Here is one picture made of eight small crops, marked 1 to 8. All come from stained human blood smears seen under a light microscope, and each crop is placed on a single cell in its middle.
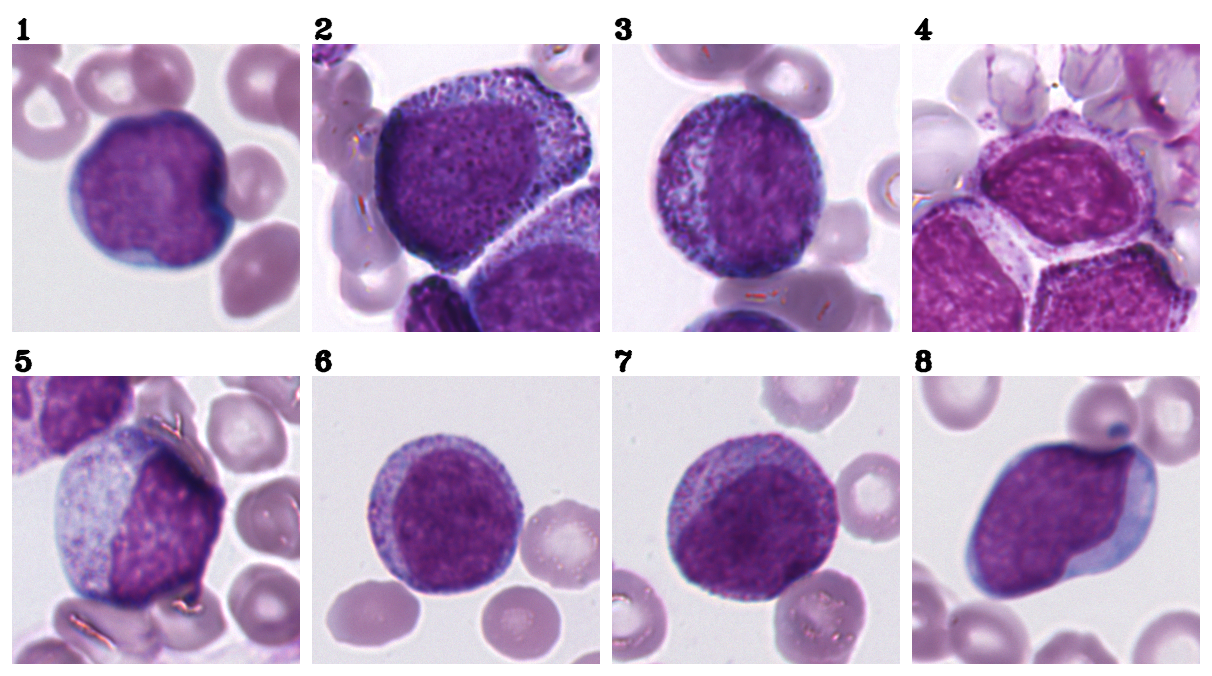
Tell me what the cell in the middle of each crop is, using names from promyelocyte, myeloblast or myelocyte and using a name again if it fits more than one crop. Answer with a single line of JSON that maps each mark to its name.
{"1": "myeloblast", "2": "promyelocyte", "3": "promyelocyte", "4": "myelocyte", "5": "myelocyte", "6": "promyelocyte", "7": "promyelocyte", "8": "myeloblast"}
